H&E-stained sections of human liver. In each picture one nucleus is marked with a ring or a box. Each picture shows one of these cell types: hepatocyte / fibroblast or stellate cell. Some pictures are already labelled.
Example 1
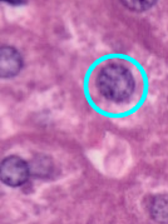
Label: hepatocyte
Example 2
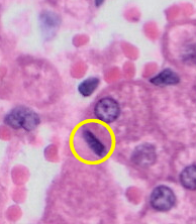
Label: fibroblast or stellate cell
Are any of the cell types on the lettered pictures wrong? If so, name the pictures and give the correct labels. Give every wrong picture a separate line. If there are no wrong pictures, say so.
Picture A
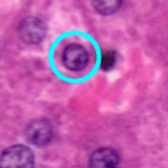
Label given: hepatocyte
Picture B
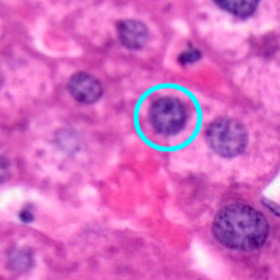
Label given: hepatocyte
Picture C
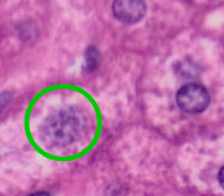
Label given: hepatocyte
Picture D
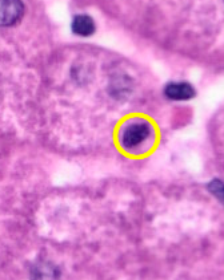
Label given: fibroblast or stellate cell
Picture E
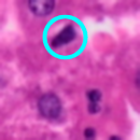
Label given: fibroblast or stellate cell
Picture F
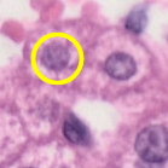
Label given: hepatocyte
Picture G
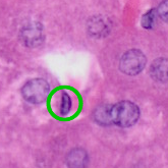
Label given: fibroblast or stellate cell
No label is wrong.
